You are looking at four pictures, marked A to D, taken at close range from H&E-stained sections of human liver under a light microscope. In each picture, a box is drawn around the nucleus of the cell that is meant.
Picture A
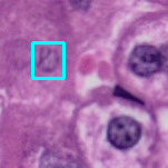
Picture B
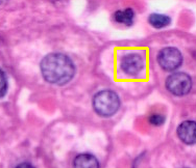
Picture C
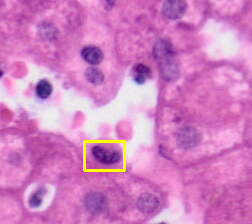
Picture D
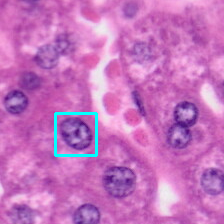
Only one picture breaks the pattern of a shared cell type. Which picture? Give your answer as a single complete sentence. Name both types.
The others show hepatocytes, but picture C shows a Kupffer cell.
